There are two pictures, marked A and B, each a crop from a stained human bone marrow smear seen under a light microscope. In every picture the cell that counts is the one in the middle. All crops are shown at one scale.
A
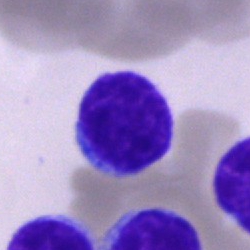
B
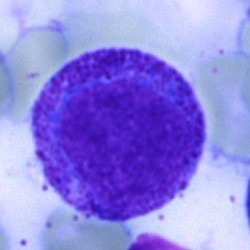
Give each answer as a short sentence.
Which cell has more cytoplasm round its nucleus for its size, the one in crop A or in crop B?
It is the cell in crop B that is filled less by its nucleus.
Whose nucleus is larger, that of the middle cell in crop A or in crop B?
The nucleus in crop B is larger, with about 2 times the area of the one in crop A.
